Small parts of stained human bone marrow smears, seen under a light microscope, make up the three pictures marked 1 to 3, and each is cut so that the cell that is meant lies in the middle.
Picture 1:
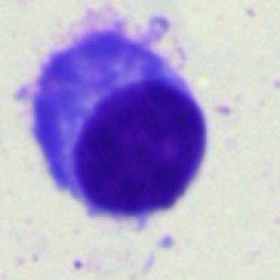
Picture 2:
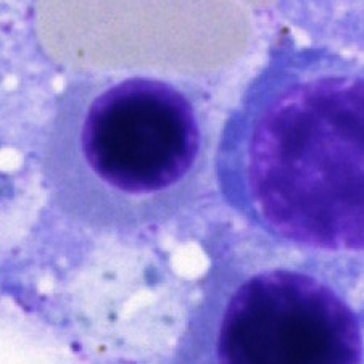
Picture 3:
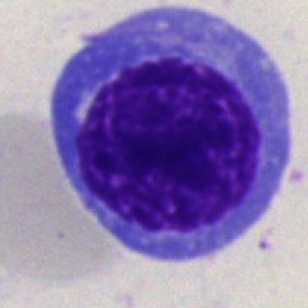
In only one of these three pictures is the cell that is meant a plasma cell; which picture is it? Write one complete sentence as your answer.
The plasma cell is the one in picture 1.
